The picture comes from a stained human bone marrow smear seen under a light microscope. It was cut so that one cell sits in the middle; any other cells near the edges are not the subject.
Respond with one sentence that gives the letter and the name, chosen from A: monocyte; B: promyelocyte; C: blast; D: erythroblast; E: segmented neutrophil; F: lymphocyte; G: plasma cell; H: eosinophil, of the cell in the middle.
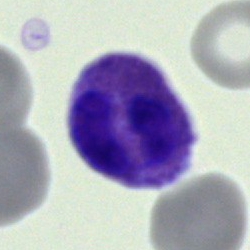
With the cell in the middle being an eosinophil, option H is the correct choice.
